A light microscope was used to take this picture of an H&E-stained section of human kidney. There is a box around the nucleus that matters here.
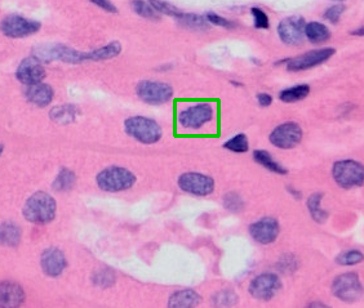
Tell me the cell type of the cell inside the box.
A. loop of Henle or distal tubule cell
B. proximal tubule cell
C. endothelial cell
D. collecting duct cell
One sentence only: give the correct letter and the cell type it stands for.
The correct response is option A: the cell inside the box is a loop of Henle or distal tubule cell.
